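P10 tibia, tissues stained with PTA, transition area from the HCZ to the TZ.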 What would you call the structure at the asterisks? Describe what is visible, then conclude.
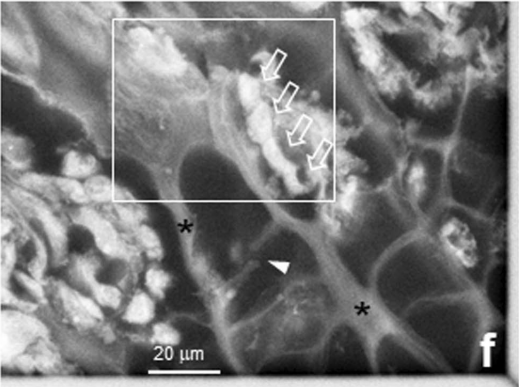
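A thick bright band of matrix runs lengthwise between rows of large empty spaces. Thin cross walls branch off from it. So: calcified longitudinal column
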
